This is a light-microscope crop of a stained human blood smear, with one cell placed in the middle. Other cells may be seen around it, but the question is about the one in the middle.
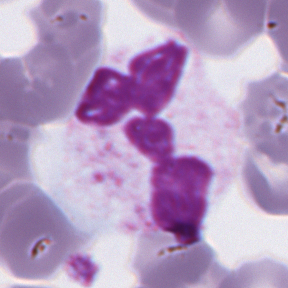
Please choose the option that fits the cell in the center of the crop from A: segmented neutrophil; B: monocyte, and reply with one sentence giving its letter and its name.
In the centre of the crop there is a segmented neutrophil, making option A correct.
